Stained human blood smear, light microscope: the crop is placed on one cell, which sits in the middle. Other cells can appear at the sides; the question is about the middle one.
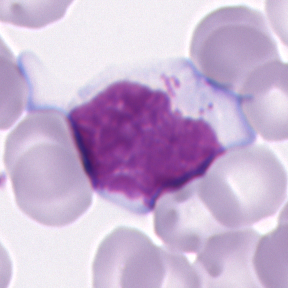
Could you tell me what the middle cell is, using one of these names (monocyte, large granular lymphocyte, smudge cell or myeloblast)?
large granular lymphocyte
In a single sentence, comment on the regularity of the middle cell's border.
Along its border, the cell is uneven, whether by ragged stretches or by projections.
